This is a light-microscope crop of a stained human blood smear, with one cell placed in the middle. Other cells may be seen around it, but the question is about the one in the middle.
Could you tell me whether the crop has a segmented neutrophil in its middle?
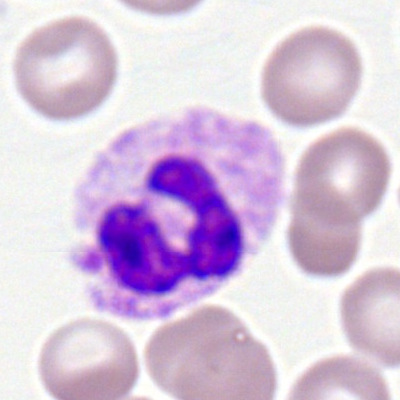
yes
